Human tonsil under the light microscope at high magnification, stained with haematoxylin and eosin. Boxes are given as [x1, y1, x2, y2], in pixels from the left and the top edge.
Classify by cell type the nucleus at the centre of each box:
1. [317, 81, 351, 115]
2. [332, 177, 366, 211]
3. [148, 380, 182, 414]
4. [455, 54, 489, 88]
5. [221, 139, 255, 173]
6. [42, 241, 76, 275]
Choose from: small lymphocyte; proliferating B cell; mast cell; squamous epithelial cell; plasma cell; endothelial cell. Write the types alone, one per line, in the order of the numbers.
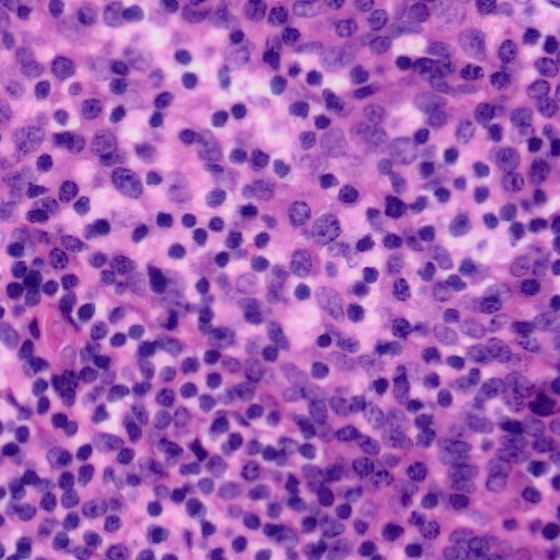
squamous epithelial cell
plasma cell
plasma cell
plasma cell
squamous epithelial cell
plasma cell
